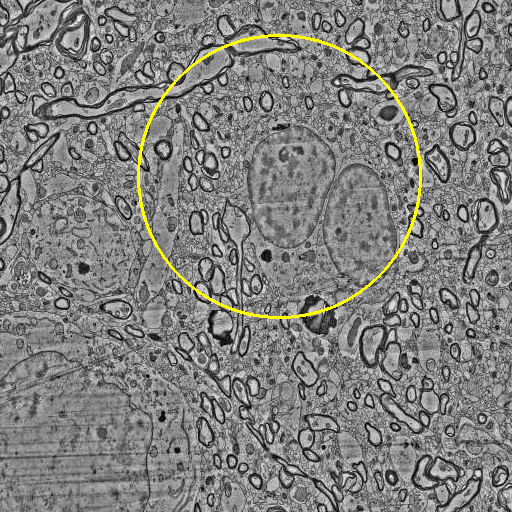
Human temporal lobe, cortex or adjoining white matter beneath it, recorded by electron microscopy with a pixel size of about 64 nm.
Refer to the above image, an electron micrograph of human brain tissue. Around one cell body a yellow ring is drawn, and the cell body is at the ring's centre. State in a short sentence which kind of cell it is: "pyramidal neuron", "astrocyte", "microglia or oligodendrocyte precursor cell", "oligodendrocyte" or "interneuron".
The centre of the ring falls on an oligodendrocyte.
